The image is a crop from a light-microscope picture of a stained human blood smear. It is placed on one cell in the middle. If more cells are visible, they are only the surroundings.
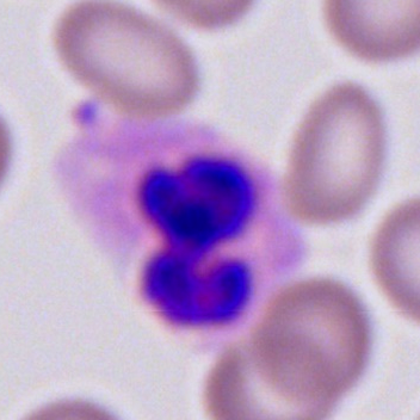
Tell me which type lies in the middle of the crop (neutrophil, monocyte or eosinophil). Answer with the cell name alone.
neutrophil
